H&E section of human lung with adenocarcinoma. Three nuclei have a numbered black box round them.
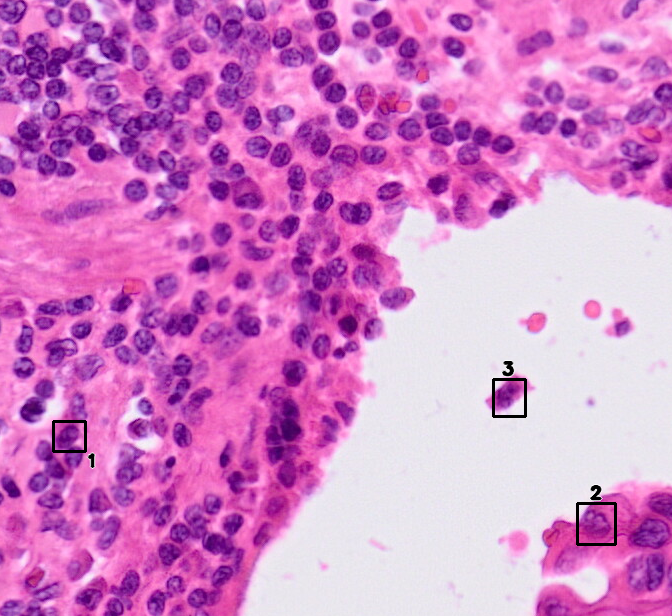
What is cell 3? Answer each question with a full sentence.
Identified as a macrophage or monocyte is the cell bearing the number 3.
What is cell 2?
The nucleus labelled 2 belongs to a carcinoma cell.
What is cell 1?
The cell that is numbered 1 is a plasma cell.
